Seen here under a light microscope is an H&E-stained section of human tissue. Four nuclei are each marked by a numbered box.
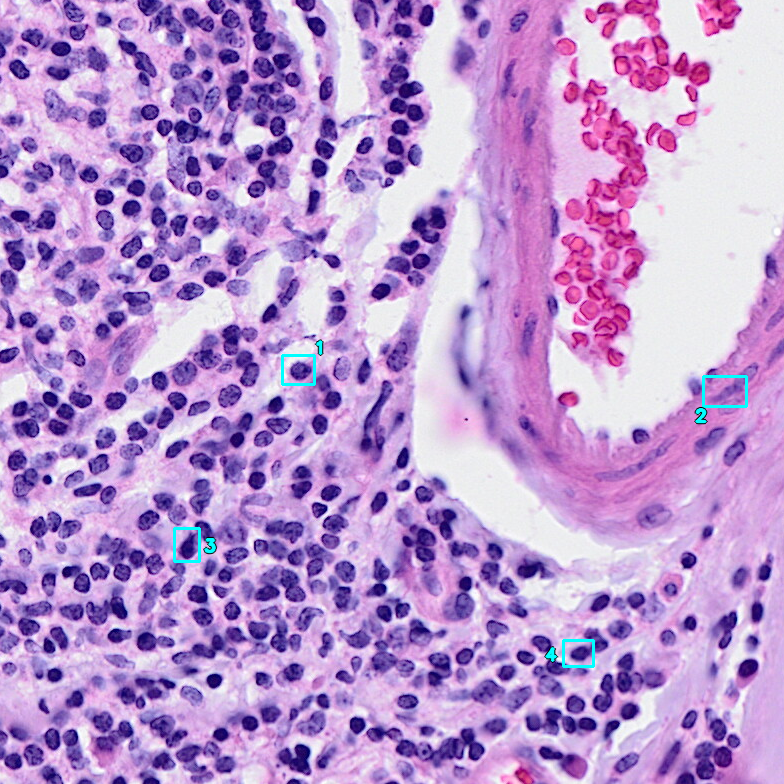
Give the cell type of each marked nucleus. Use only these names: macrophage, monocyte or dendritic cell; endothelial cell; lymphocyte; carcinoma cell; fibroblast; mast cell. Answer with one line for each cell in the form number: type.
1: lymphocyte
2: endothelial cell
3: lymphocyte
4: lymphocyte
